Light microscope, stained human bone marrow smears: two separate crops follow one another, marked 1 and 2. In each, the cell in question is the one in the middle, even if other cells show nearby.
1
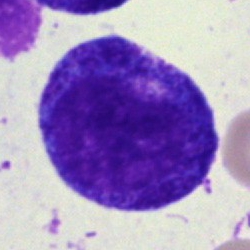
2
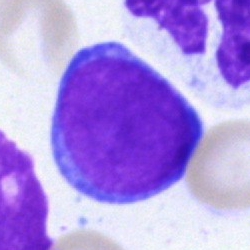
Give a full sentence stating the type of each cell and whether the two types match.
No, crop 1 shows a promyelocyte, and the cell in crop 2 is a blast.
